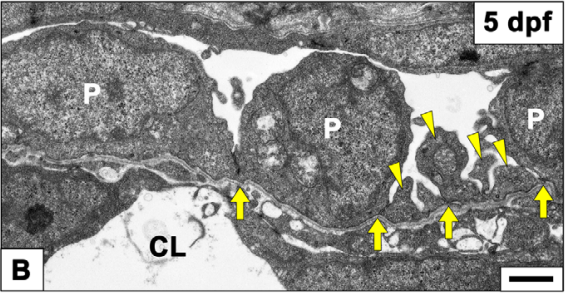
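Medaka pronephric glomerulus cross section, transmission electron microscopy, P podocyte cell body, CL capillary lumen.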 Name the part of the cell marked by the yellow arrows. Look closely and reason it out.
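Arrows point to contacts between neighbouring cells at their base. The contacts sit next to the thin dense layer bordering the capillary lumen. On this evidence: intercellular junctions.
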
